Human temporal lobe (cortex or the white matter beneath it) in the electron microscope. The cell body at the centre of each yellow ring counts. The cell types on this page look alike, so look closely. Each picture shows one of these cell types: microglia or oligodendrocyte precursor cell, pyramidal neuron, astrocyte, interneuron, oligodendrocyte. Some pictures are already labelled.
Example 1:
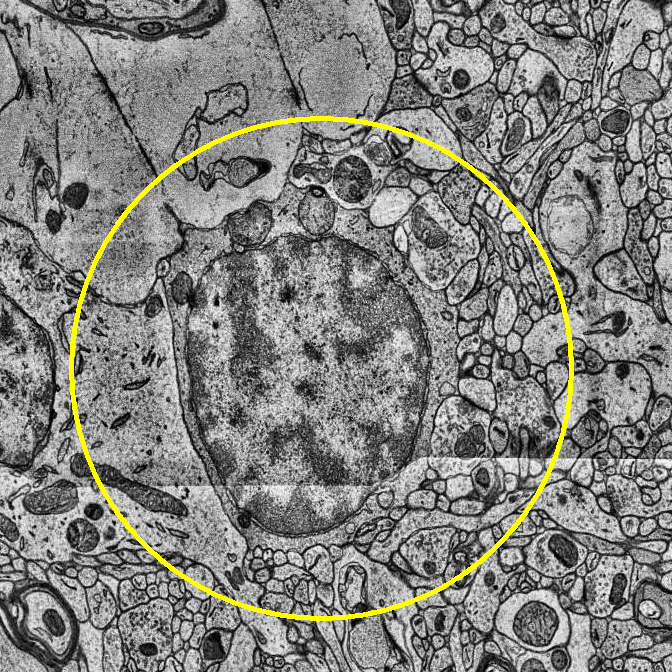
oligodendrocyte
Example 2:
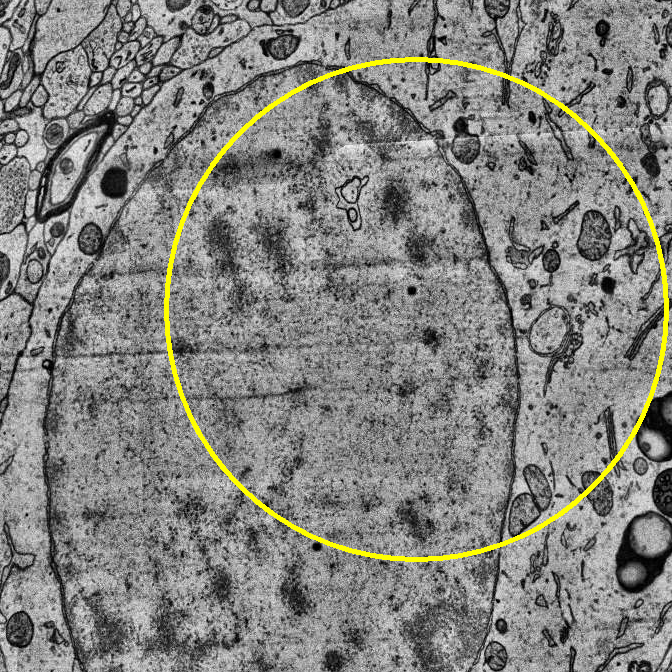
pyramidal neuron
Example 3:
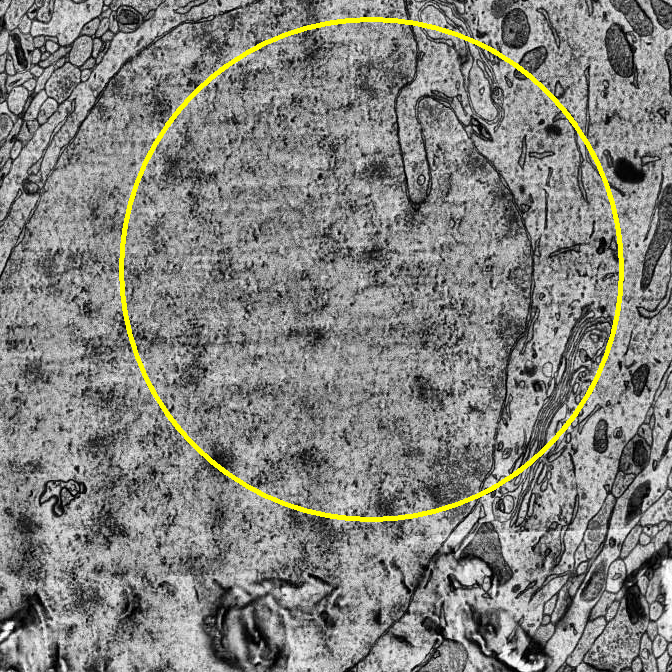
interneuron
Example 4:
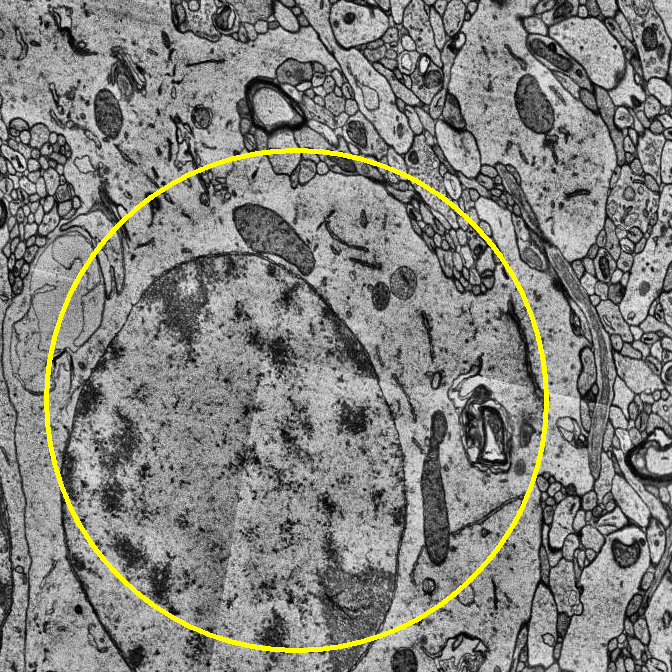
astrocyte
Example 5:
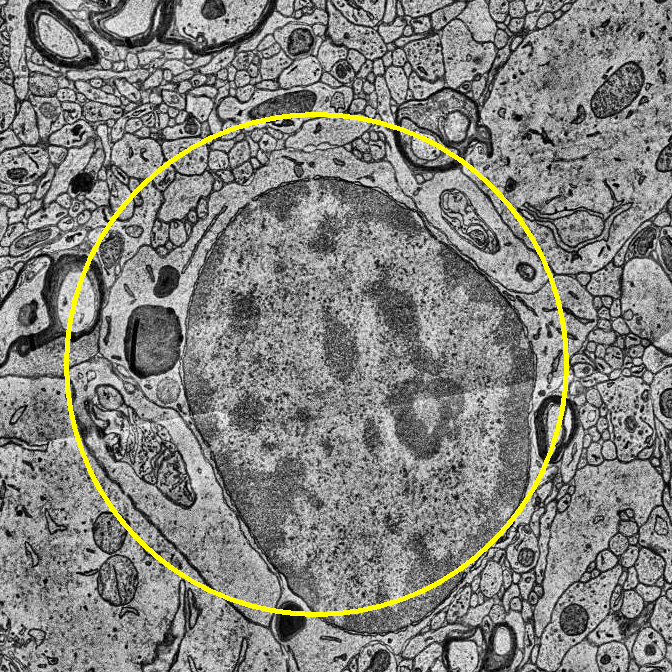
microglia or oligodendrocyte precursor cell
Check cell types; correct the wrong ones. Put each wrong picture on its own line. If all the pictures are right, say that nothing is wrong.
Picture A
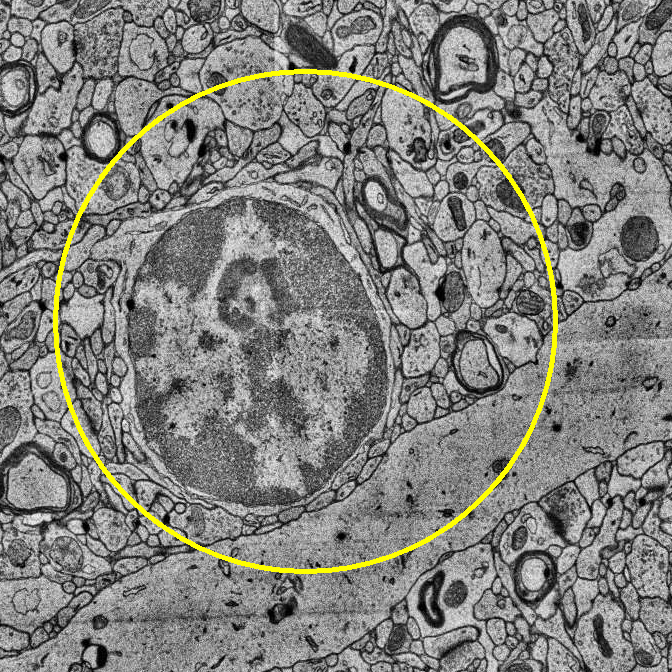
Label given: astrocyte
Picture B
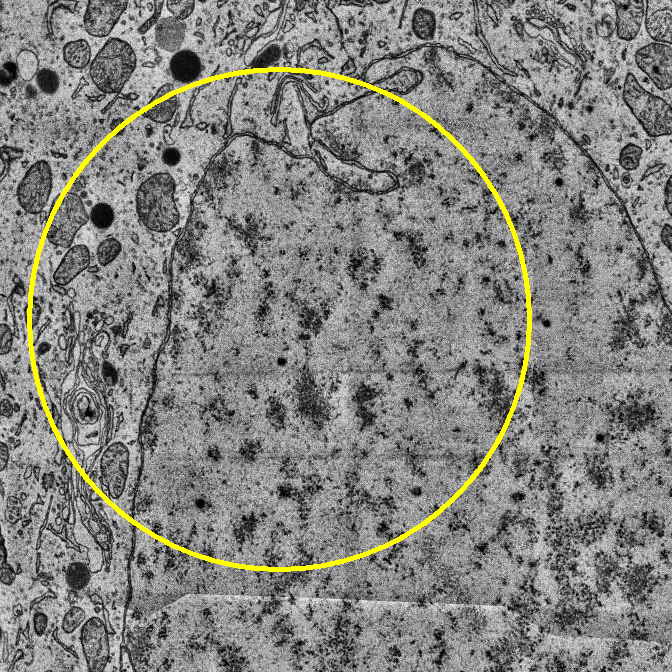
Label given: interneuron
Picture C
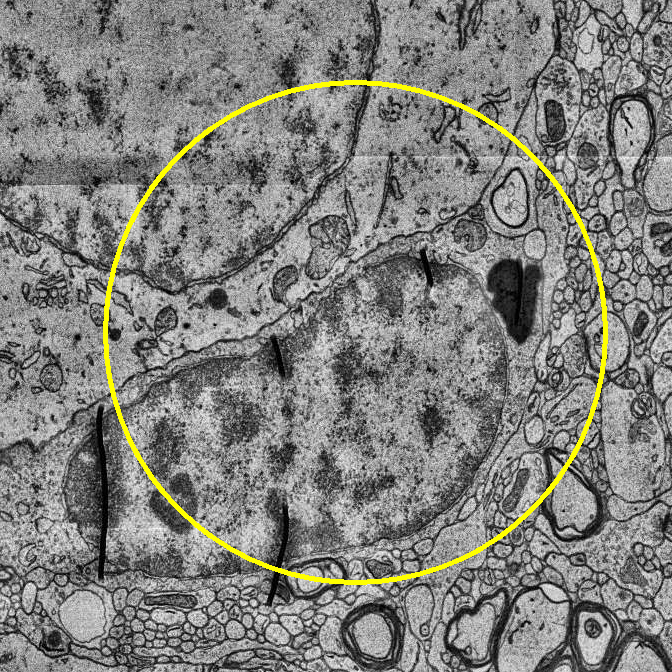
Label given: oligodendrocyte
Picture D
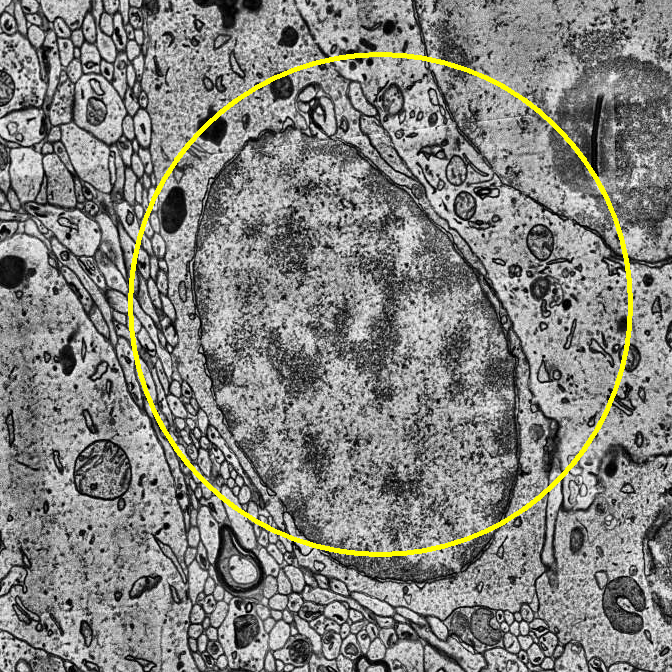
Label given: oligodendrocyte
Wrong: A (astrocyte); correct: microglia or oligodendrocyte precursor cell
